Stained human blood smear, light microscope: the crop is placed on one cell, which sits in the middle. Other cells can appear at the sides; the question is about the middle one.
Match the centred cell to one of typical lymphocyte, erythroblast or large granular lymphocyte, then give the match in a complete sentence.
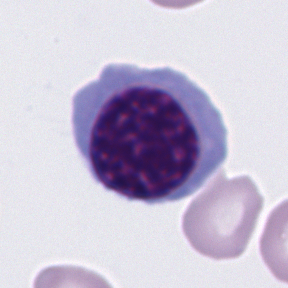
The cell of interest, located centrally, is an erythroblast.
